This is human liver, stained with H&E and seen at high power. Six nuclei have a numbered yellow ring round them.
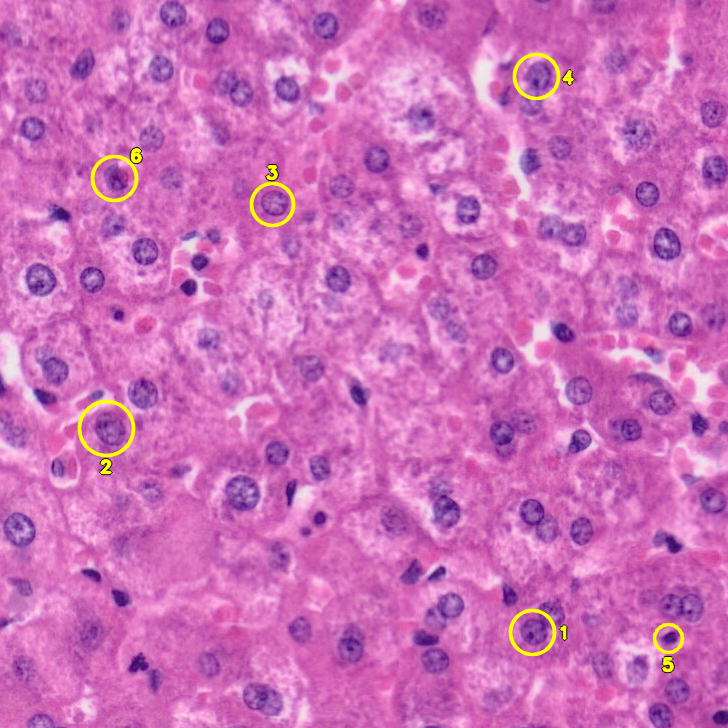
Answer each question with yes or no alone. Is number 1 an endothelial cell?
no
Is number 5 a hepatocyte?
no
